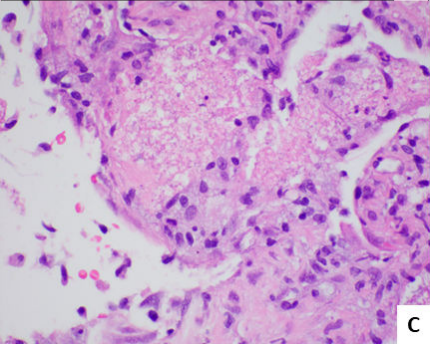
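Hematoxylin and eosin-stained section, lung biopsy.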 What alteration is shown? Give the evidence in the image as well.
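Frothy intraalveolar eosinophilic exudate. A central airspace is filled with pale pink material. The pink material is finely vacuolated, giving a foamy look. The material lies within a space lined and surrounded by cells with purple nuclei.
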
